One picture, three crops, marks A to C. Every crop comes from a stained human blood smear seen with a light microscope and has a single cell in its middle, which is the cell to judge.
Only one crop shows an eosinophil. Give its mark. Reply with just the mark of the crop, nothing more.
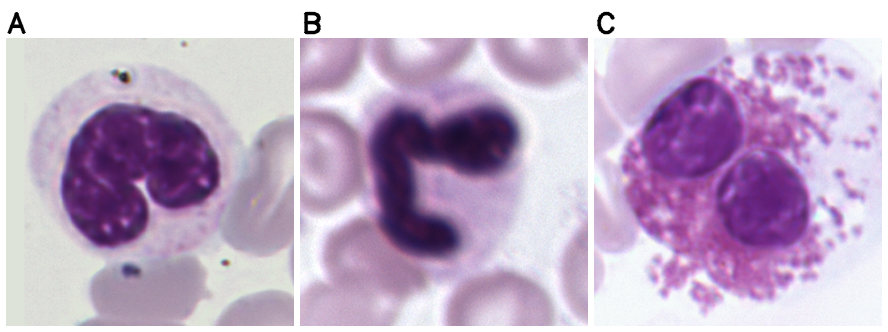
C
